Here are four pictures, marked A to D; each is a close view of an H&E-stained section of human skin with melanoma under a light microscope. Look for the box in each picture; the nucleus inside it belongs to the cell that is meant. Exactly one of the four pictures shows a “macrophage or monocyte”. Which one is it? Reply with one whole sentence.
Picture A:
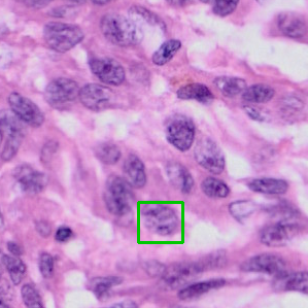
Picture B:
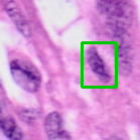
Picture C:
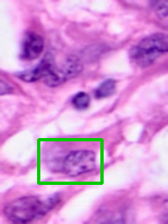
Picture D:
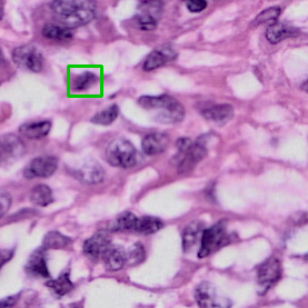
The “macrophage or monocyte” is the one in picture D.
